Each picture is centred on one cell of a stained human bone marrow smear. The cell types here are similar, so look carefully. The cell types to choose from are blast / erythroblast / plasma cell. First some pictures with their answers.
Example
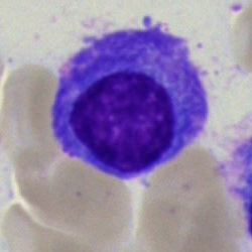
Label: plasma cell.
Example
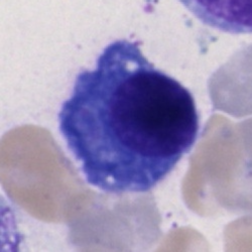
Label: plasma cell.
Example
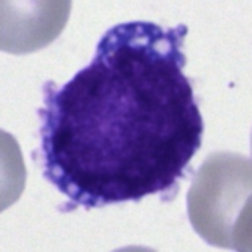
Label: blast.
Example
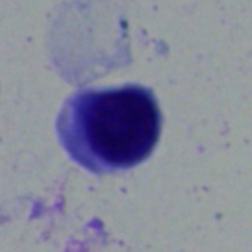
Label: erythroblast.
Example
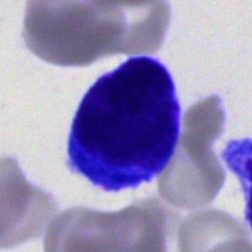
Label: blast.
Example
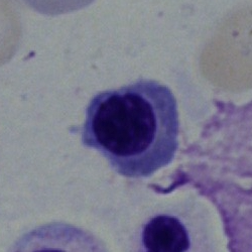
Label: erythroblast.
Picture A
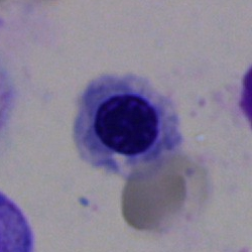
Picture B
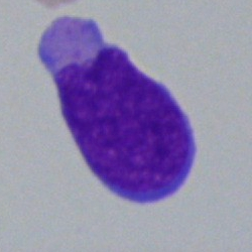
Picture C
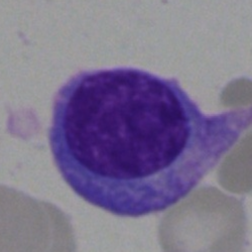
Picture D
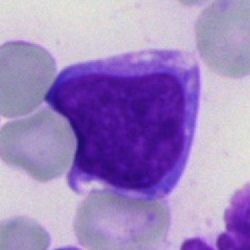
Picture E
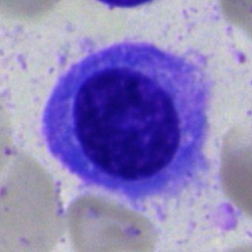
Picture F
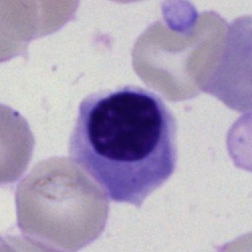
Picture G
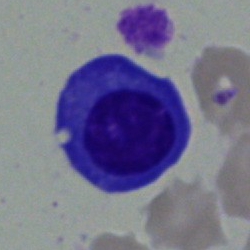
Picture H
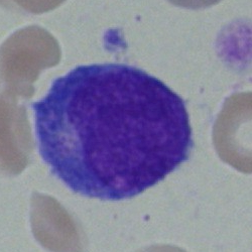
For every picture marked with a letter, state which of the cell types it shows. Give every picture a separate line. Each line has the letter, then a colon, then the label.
A: erythroblast.
B: blast.
C: plasma cell.
D: blast.
E: plasma cell.
F: erythroblast.
G: plasma cell.
H: blast.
